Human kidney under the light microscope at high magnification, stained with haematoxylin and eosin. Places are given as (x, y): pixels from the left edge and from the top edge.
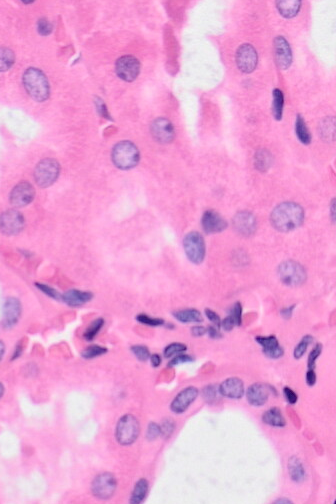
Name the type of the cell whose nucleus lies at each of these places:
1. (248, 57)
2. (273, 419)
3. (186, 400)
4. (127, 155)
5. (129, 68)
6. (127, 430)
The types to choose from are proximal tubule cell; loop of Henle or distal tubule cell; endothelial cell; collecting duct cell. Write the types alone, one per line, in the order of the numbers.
proximal tubule cell
collecting duct cell
collecting duct cell
proximal tubule cell
proximal tubule cell
proximal tubule cell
